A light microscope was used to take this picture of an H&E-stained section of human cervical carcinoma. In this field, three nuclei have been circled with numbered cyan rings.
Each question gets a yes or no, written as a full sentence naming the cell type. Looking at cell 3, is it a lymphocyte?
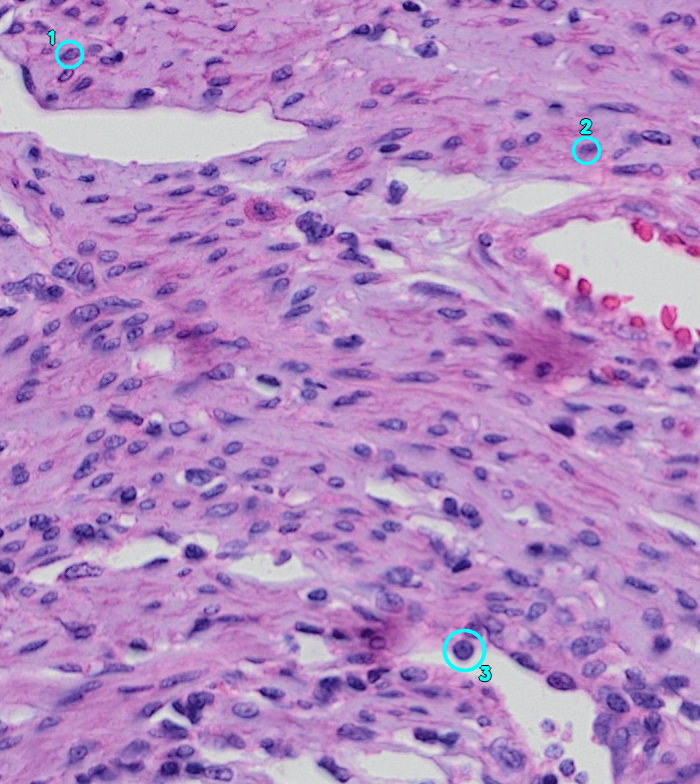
Yes, the cell with its nucleus marked 3 is a lymphocyte.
